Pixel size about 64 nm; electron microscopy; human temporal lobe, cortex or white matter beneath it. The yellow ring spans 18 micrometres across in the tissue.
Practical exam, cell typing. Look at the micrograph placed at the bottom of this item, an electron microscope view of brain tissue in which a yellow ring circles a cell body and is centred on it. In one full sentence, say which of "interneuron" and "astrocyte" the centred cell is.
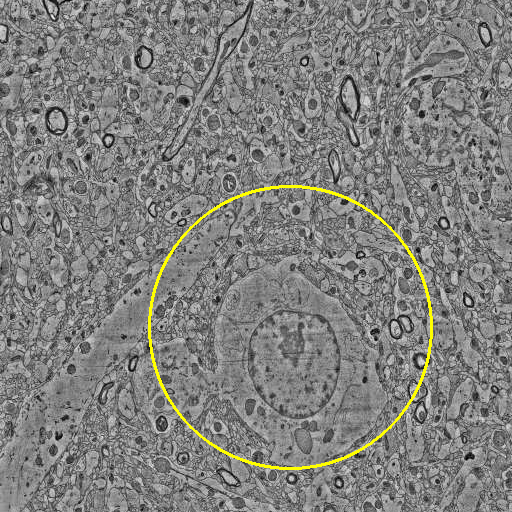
Given the options, an astrocyte fits the cell whose body the yellow ring is centred on.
